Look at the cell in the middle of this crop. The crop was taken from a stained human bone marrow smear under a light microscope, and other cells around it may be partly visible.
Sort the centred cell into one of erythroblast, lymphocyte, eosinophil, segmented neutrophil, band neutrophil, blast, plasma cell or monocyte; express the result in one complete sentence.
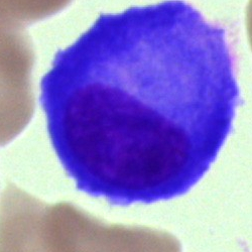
Occupying the centre of the crop is a plasma cell.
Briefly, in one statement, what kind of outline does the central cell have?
Irregularity marks the cell border, whether as raggedness or as projections.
